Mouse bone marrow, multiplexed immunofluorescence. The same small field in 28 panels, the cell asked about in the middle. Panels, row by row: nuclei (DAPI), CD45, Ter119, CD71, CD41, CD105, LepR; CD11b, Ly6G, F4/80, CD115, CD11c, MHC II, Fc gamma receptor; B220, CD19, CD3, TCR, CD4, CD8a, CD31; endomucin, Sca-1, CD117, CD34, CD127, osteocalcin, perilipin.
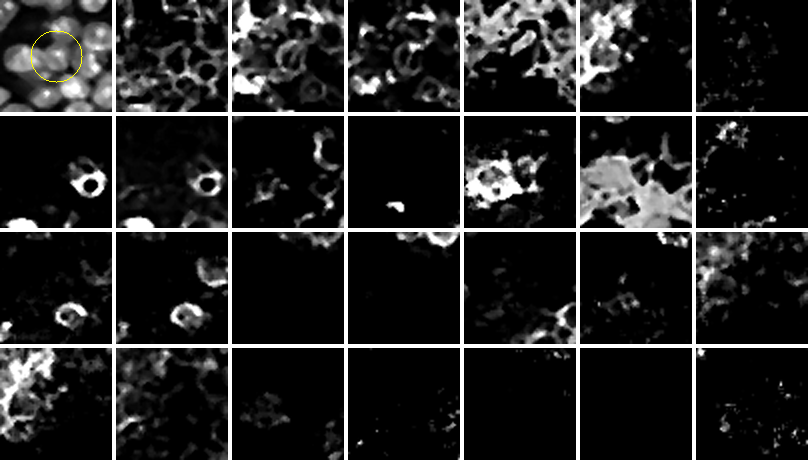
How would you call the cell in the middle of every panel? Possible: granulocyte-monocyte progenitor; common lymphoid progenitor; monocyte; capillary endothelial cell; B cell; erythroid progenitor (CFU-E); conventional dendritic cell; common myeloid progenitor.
I would call it a conventional dendritic cell.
